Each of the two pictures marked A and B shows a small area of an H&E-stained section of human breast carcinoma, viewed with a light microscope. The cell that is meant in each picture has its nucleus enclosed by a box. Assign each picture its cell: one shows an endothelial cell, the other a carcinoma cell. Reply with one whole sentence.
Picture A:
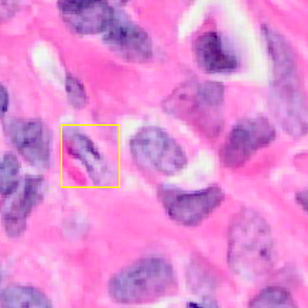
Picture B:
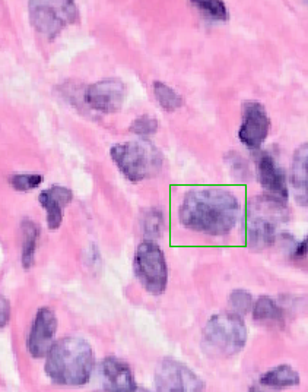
Picture A is of an endothelial cell, and picture B is of a carcinoma cell.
